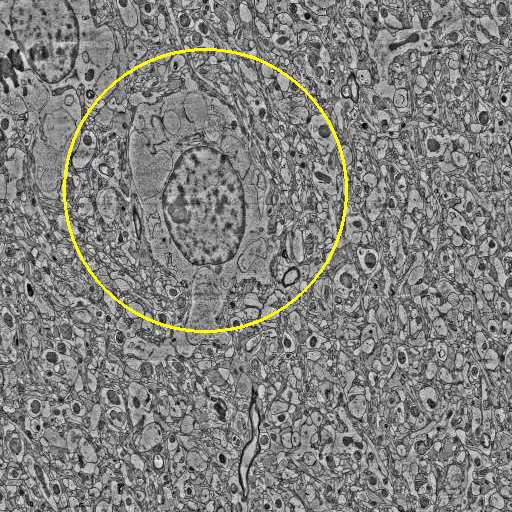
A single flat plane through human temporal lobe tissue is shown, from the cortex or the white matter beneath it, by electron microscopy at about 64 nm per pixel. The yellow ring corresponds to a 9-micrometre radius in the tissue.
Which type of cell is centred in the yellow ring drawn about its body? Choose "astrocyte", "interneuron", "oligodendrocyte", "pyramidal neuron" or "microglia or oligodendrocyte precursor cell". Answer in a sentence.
The yellow ring surrounds the cell body of an astrocyte.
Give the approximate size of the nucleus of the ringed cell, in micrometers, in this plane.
The nucleus of the ringed cell is approximately 8 by 5 micrometres in this plane.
